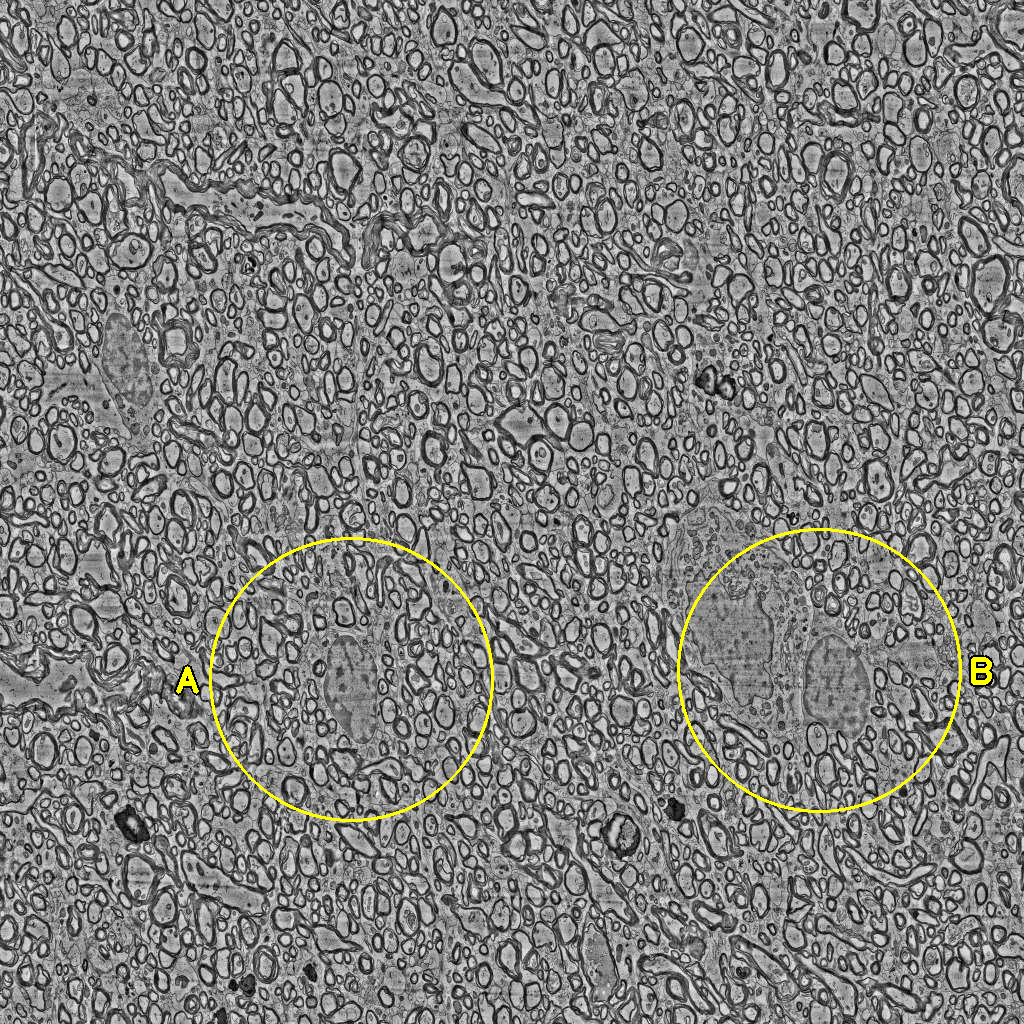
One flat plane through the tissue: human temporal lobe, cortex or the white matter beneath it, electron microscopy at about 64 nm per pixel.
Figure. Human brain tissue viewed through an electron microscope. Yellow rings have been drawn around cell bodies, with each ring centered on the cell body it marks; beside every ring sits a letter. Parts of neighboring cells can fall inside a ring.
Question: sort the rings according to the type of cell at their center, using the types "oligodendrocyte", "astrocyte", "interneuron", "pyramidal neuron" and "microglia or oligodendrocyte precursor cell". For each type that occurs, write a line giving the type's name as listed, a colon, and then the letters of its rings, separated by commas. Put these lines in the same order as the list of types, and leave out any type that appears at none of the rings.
oligodendrocyte: B
microglia or oligodendrocyte precursor cell: A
